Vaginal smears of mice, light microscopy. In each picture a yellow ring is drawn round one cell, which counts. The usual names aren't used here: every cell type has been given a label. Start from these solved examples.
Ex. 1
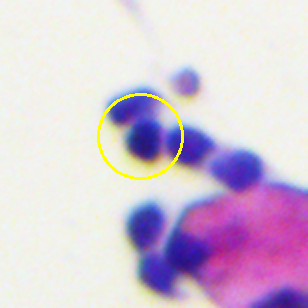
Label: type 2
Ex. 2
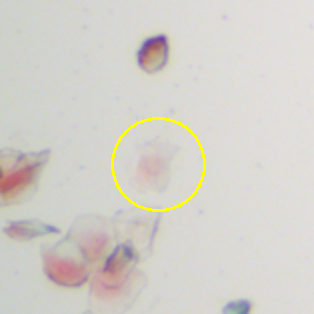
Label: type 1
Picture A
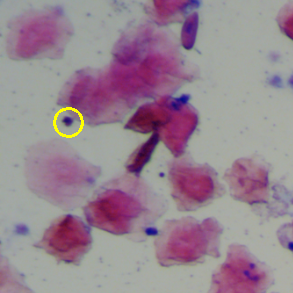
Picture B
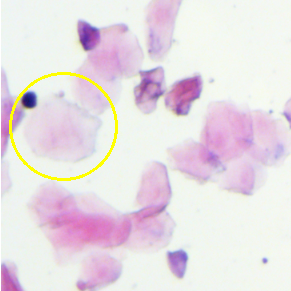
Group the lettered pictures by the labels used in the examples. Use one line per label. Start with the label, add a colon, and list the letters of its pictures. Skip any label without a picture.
type 2: A
type 1: B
